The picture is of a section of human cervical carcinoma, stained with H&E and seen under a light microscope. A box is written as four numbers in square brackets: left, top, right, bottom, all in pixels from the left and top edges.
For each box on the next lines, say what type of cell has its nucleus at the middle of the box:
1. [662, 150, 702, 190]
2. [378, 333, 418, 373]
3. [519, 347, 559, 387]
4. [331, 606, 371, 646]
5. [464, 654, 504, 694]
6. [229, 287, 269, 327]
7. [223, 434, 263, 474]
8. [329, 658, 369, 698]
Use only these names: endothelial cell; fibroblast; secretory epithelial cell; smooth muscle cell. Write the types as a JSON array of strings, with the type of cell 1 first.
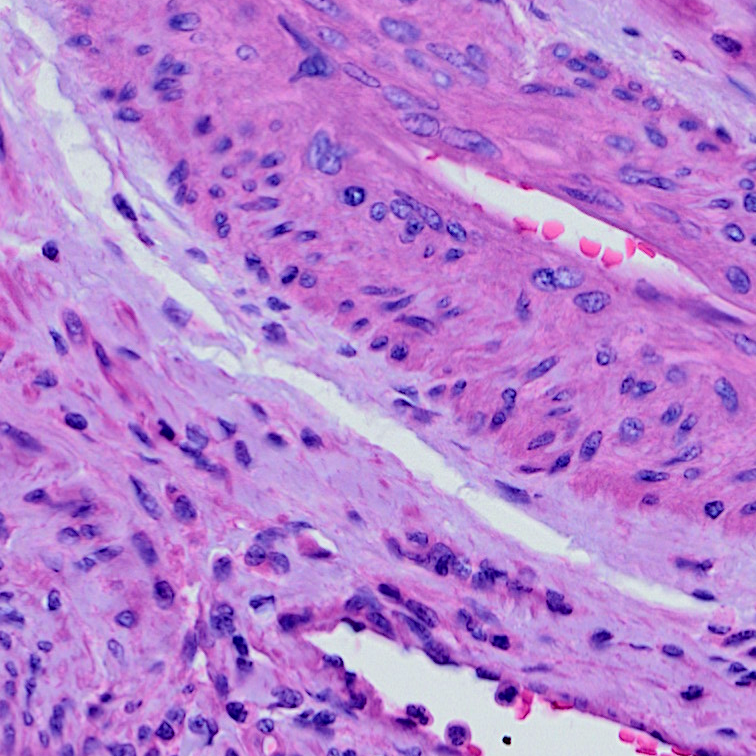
["smooth muscle cell", "smooth muscle cell", "smooth muscle cell", "endothelial cell", "endothelial cell", "fibroblast", "fibroblast", "endothelial cell"]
